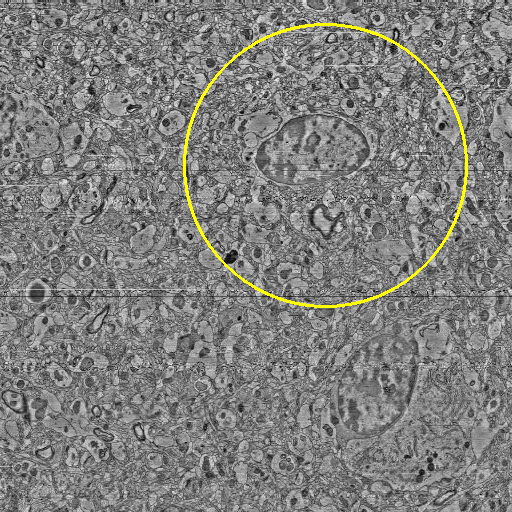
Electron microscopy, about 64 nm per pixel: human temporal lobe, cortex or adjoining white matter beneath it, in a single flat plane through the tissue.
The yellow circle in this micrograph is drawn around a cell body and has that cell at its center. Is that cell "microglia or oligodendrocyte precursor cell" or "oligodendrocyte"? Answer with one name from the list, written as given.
microglia or oligodendrocyte precursor cell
